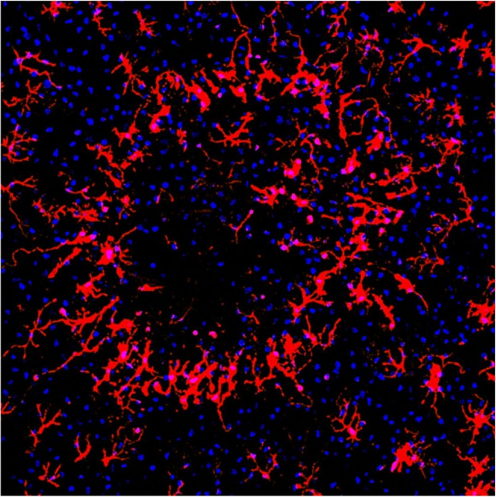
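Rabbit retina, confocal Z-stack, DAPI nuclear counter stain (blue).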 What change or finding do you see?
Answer: Congregate at the lesion edge (ring)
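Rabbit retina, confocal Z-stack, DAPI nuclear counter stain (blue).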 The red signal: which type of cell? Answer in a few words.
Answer: microglia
